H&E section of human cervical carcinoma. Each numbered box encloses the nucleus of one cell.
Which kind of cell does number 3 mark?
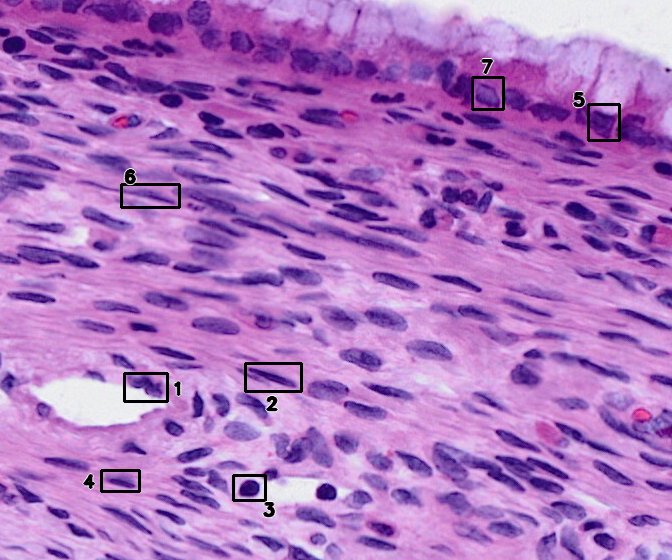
lymphocyte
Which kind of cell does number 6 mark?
fibroblast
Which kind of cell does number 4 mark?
fibroblast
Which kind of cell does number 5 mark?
secretory epithelial cell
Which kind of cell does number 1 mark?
endothelial cell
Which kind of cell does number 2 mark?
fibroblast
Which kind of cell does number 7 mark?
secretory epithelial cell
